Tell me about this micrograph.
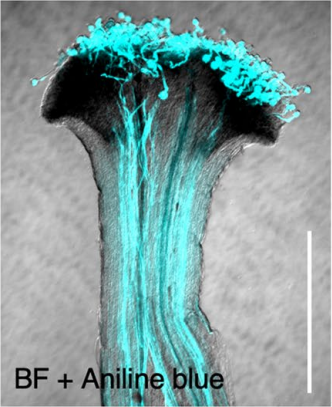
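This is the upper end of a pistil, with the broad stigma at the top and the narrower style below it. Round pollen grains crowd the stigma surface, and from them many thin cyan-glowing pollen tubes run down through the style as long parallel threads.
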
